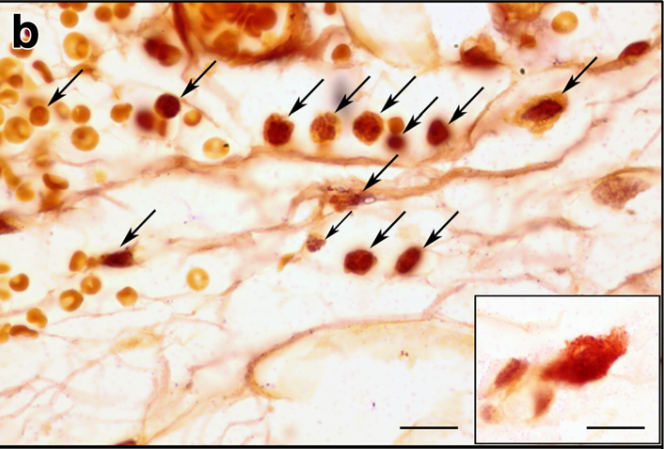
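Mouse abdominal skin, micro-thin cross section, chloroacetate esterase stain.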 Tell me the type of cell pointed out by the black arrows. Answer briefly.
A: granulocytes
